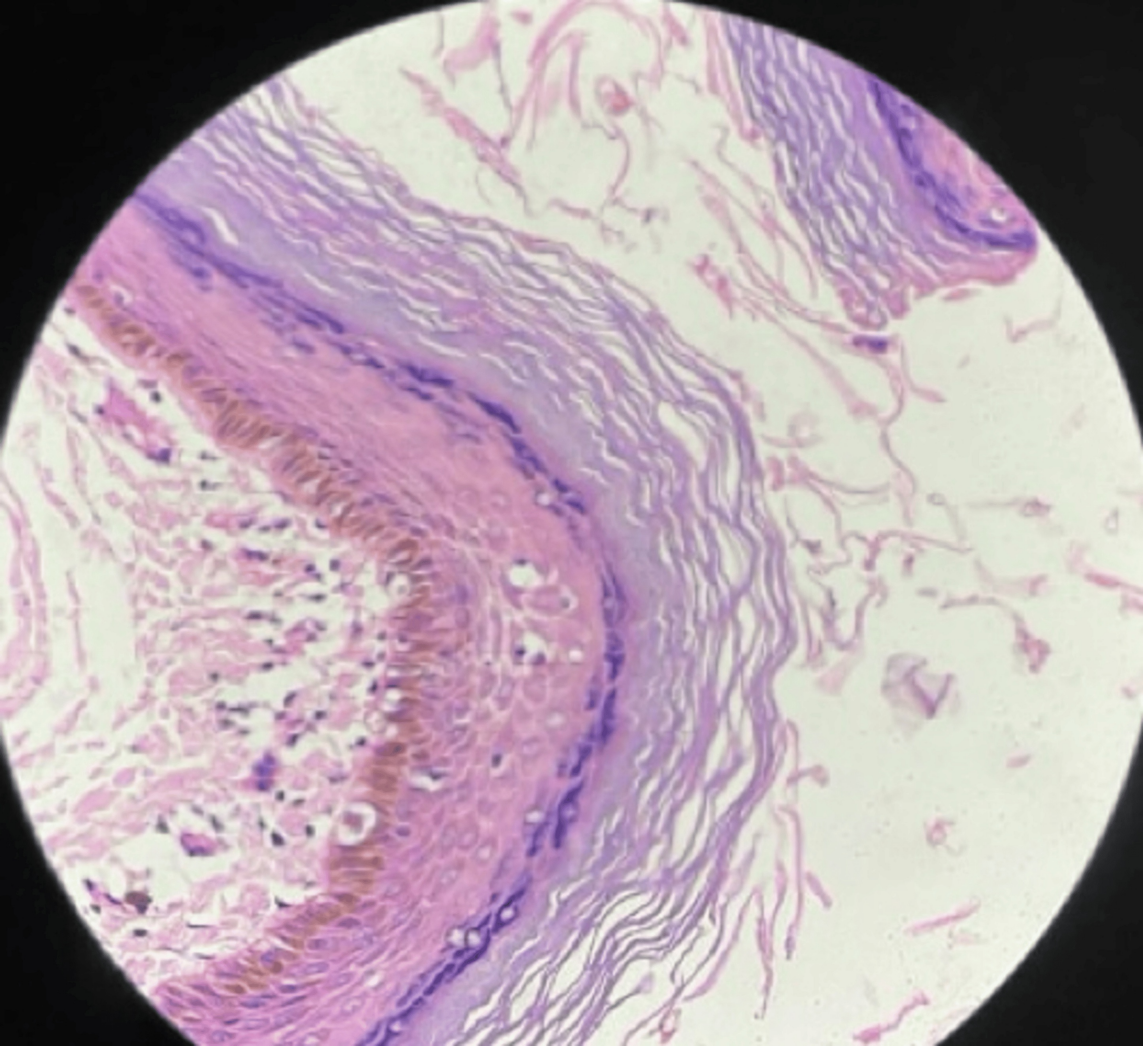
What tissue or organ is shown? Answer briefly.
orthokeratinized stratified squamous epithelium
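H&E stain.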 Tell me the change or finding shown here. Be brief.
Epidermoid cyst.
